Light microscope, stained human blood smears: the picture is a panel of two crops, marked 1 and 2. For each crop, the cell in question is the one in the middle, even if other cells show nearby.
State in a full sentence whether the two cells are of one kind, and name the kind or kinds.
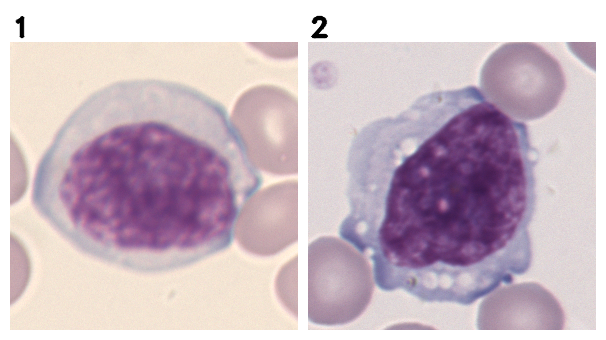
Yes, myeloblasts are present at the centre of both crops.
